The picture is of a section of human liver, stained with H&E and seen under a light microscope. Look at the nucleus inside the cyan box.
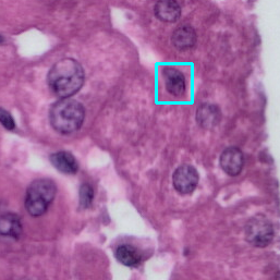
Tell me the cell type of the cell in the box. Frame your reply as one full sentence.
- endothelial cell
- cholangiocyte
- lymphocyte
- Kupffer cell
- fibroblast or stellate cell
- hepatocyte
To be brief about it, the cell in the box is a Kupffer cell.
